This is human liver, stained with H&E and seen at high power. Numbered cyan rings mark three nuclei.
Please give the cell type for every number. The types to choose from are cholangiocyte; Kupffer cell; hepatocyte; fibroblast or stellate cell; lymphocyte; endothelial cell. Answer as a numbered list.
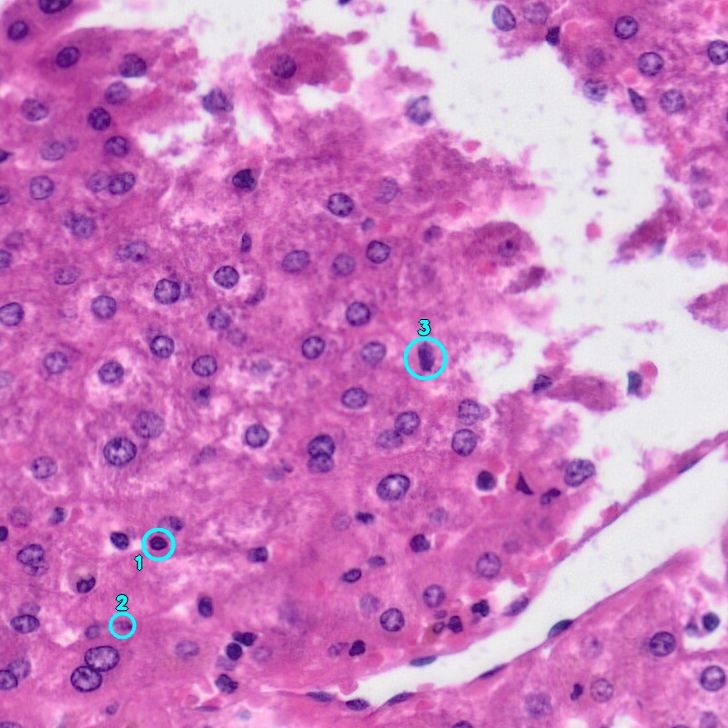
1. lymphocyte
2. fibroblast or stellate cell
3. fibroblast or stellate cell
